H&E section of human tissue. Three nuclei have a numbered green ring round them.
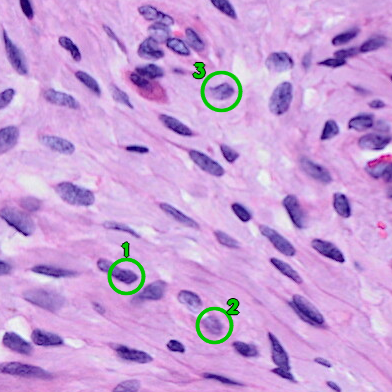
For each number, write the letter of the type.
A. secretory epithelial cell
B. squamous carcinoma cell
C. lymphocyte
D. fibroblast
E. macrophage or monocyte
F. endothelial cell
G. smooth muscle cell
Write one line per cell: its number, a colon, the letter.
1: D
2: F
3: D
